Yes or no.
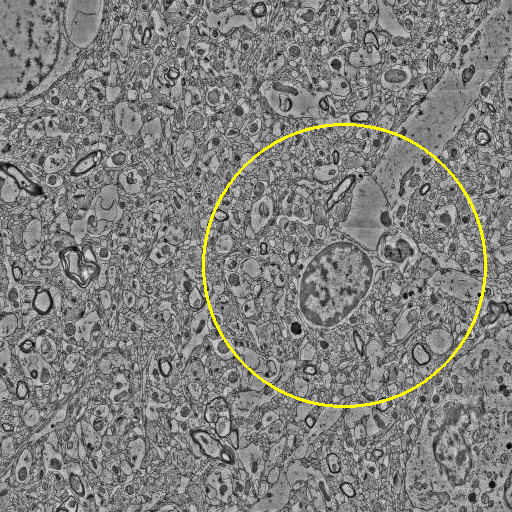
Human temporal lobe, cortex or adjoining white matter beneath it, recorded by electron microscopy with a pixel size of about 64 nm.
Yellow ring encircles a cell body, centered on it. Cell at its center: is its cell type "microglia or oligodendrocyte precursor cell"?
yes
